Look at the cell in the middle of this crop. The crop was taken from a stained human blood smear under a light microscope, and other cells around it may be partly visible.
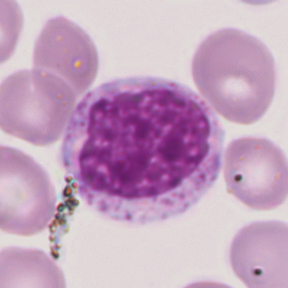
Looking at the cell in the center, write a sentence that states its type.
Here the centrally located cell is a myelocyte.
